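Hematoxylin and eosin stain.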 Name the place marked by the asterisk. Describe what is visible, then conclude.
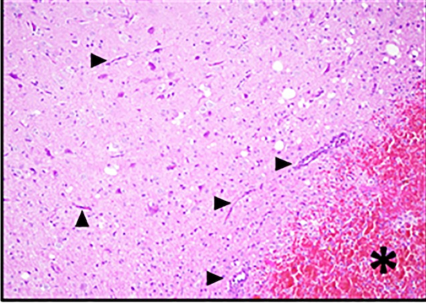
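The asterisk lies in a large area packed with bright red blood cells. This red area contrasts sharply with the pale pink tissue beside it.
Answer: site of injury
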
